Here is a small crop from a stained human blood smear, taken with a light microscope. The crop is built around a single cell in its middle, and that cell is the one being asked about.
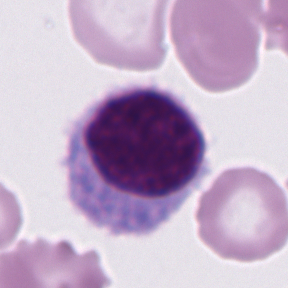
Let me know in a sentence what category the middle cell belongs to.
Of the cells in this crop, the central one is a hairy cell.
